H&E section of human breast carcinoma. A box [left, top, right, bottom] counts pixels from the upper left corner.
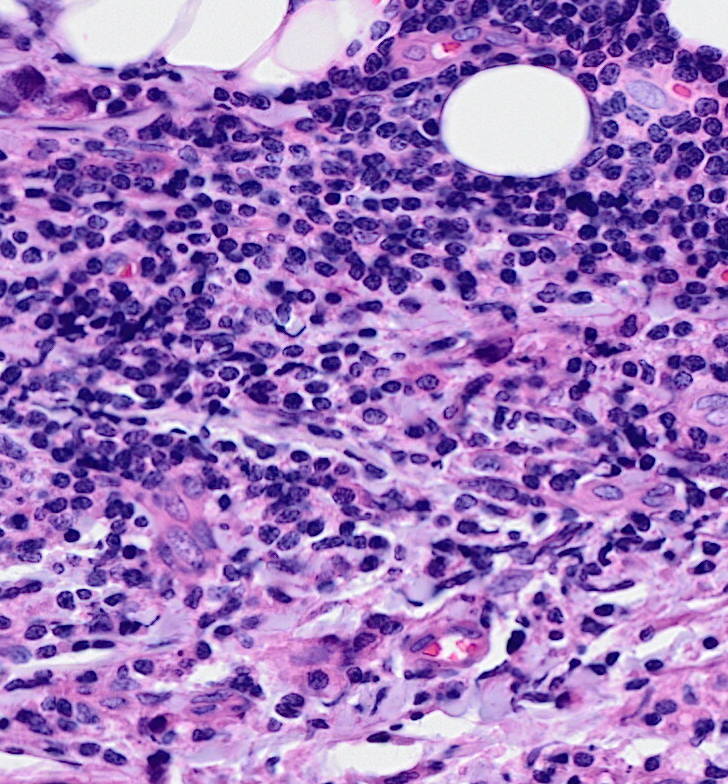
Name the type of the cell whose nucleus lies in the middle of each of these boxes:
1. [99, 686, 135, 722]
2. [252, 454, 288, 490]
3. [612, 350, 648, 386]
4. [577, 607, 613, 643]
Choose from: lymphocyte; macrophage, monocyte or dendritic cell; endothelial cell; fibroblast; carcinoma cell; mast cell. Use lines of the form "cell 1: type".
cell 1: endothelial cell
cell 2: lymphocyte
cell 3: lymphocyte
cell 4: lymphocyte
